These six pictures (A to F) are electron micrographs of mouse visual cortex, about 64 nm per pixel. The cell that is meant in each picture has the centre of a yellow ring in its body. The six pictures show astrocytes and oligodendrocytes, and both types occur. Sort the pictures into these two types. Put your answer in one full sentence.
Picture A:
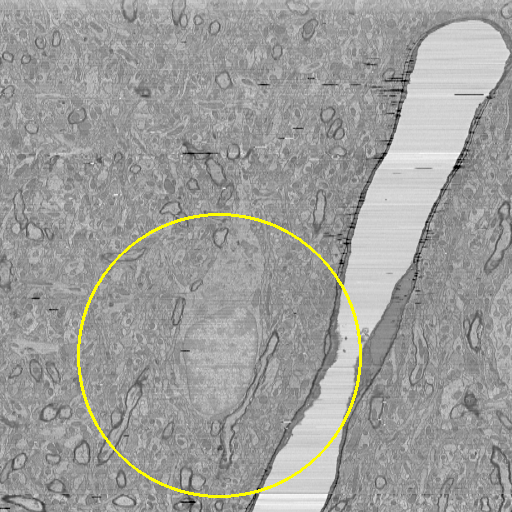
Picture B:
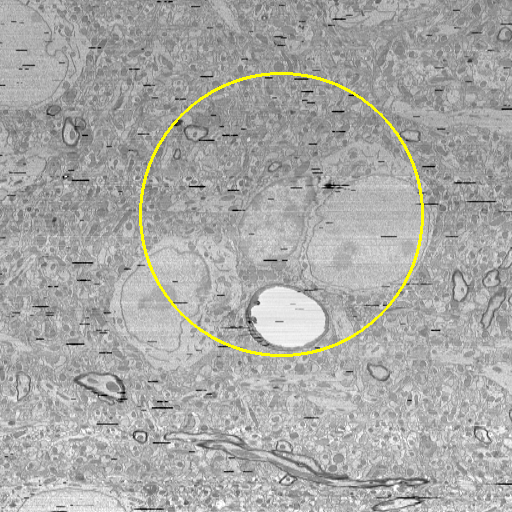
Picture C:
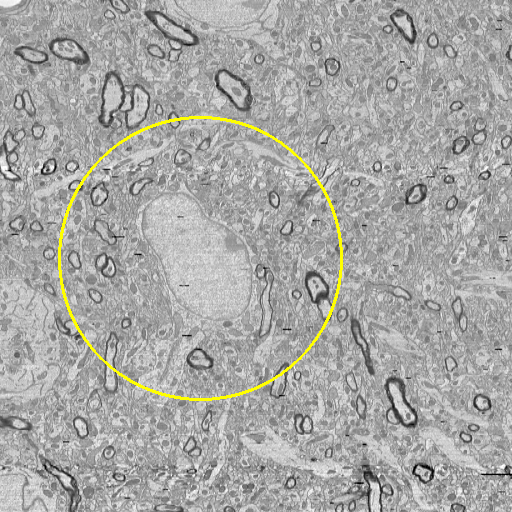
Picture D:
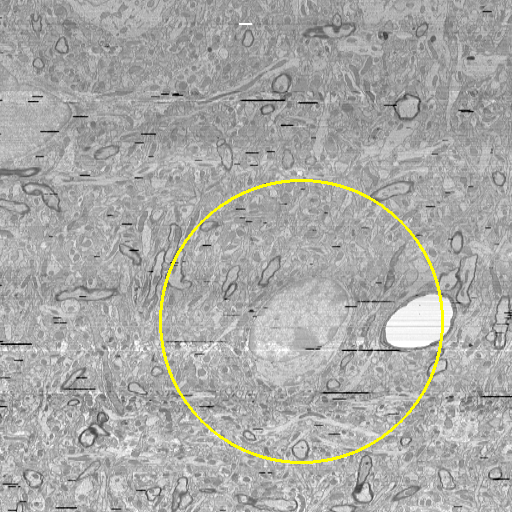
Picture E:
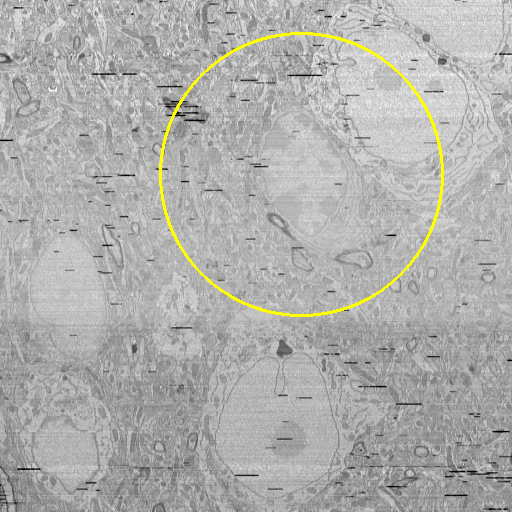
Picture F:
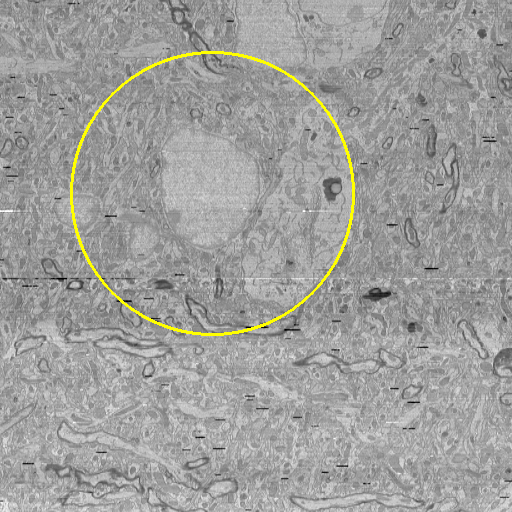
Pictures C and F show astrocytes, and pictures A, B, D and E show oligodendrocytes.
